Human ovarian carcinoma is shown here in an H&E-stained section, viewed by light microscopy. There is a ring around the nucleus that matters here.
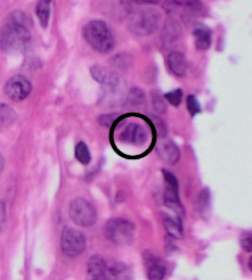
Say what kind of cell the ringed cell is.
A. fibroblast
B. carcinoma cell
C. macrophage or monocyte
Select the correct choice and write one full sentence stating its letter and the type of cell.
Option B gives the correct identity of the ringed cell, which is a carcinoma cell.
